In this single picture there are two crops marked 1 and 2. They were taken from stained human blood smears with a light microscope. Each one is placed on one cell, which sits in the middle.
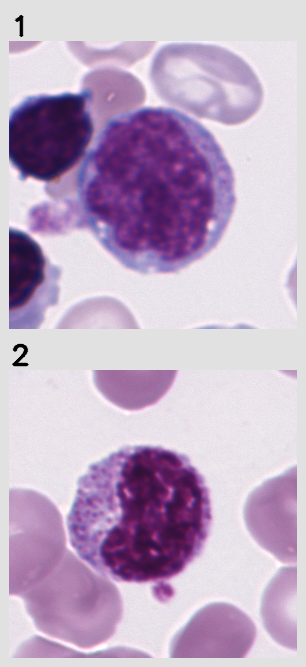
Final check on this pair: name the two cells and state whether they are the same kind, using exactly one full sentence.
No, crop 1 gives us a monocyte and crop 2 gives us a metamyelocyte.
